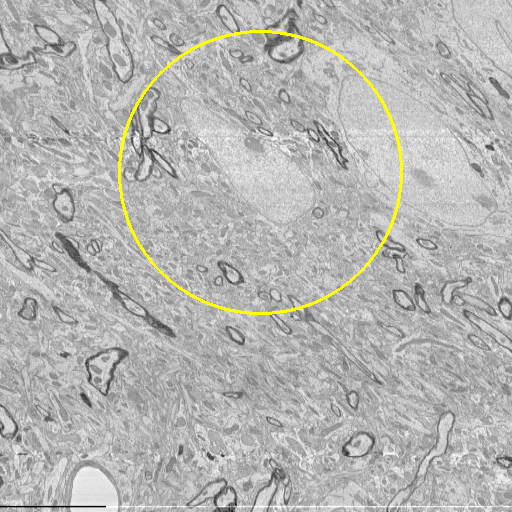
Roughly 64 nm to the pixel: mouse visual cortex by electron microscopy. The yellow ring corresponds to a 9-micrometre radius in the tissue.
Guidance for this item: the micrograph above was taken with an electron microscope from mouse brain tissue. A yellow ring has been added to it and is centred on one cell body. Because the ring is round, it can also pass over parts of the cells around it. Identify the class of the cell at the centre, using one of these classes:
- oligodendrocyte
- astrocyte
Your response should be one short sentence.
The ring surrounds the body of an astrocyte.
